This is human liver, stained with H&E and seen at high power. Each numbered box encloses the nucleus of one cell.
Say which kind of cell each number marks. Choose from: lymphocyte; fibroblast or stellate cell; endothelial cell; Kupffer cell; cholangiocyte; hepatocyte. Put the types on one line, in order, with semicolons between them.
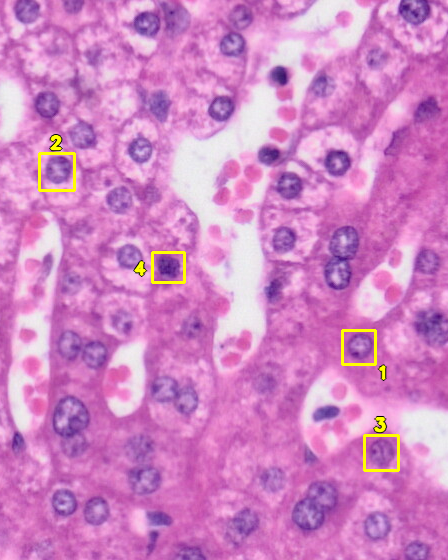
hepatocyte; hepatocyte; hepatocyte; fibroblast or stellate cell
